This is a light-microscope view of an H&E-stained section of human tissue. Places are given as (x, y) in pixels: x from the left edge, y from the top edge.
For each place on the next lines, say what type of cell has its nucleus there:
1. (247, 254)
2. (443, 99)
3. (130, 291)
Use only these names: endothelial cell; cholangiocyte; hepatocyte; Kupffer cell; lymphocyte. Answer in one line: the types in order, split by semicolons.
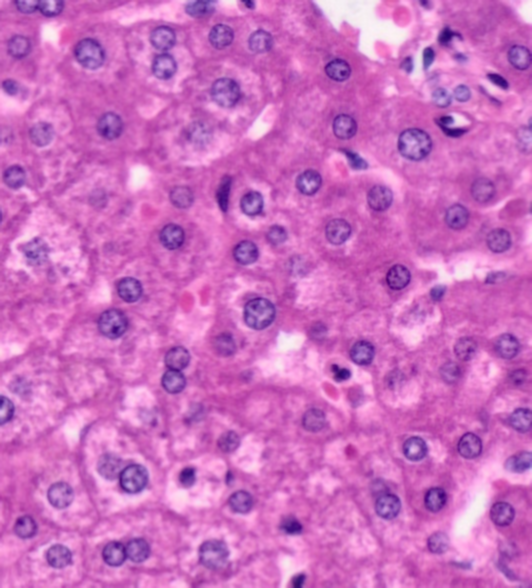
hepatocyte; cholangiocyte; hepatocyte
